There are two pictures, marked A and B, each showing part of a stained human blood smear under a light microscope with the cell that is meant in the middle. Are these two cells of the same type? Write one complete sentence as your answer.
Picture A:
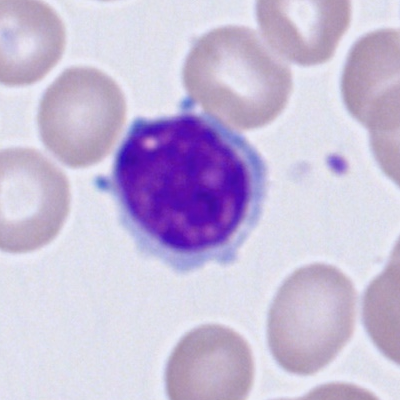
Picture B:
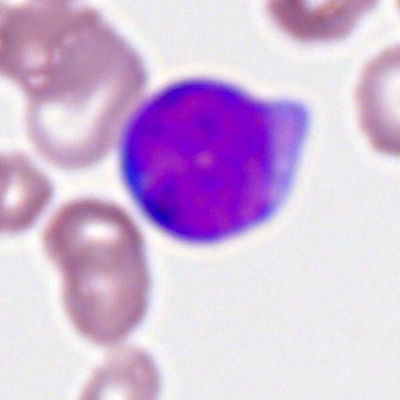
No. Picture A shows a lymphocyte, but picture B shows a myeloblast.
